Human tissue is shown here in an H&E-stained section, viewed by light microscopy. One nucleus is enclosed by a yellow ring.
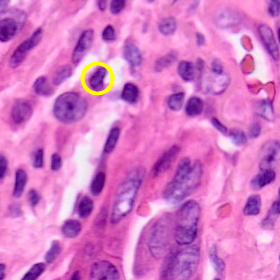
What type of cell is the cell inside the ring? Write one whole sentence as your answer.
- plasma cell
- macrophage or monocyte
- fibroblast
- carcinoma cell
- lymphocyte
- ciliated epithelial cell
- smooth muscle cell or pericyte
The cell inside the ring appears to be a lymphocyte.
